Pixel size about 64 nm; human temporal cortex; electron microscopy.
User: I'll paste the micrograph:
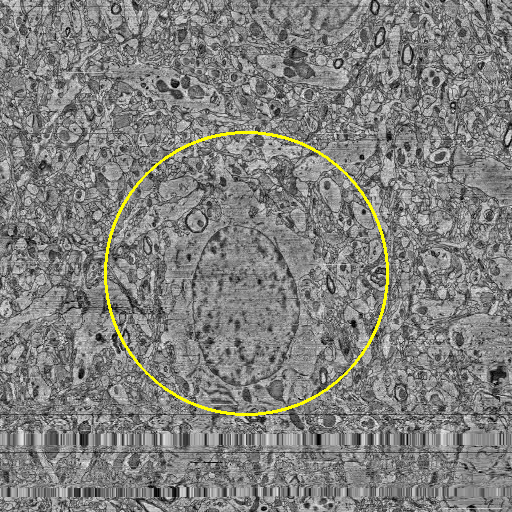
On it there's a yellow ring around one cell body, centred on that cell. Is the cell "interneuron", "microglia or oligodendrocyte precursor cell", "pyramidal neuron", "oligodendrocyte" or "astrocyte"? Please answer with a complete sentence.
The cell ringed in yellow is an astrocyte.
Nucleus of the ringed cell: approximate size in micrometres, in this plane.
Roughly 11 by 7 micrometers, clearly longer than it is wide in this plane.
